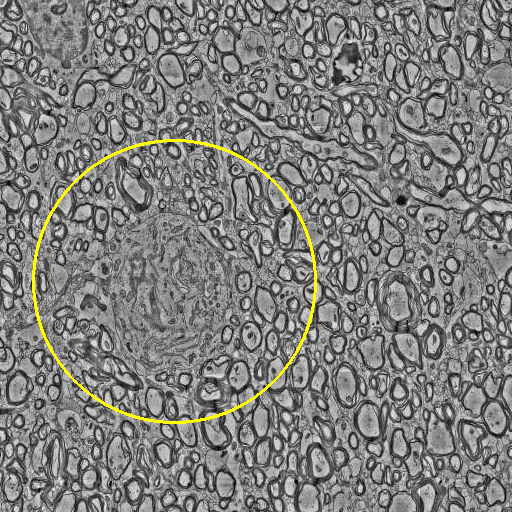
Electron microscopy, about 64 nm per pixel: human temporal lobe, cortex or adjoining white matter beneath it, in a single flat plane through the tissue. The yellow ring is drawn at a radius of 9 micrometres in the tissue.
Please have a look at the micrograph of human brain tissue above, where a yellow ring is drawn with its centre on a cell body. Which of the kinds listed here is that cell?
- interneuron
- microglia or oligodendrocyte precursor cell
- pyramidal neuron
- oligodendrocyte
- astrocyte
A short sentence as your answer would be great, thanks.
At the centre of the ring sits an interneuron.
